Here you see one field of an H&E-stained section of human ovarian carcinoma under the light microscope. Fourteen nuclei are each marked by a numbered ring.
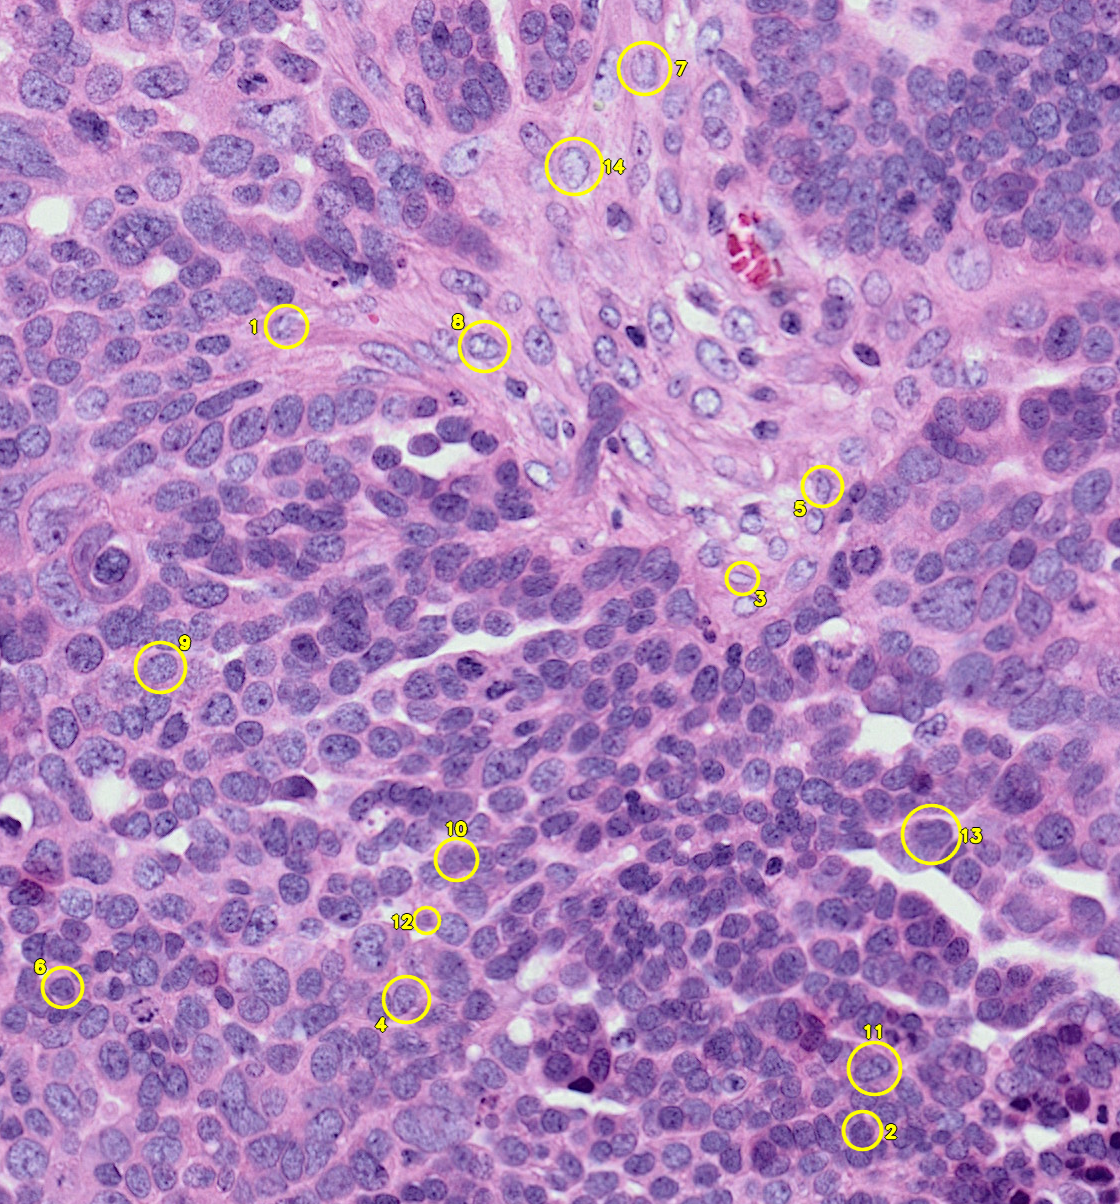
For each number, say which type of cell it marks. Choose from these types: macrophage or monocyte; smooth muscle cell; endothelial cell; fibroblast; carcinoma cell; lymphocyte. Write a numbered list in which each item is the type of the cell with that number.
1. fibroblast
2. carcinoma cell
3. fibroblast
4. carcinoma cell
5. fibroblast
6. carcinoma cell
7. fibroblast
8. fibroblast
9. carcinoma cell
10. carcinoma cell
11. carcinoma cell
12. carcinoma cell
13. carcinoma cell
14. fibroblast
